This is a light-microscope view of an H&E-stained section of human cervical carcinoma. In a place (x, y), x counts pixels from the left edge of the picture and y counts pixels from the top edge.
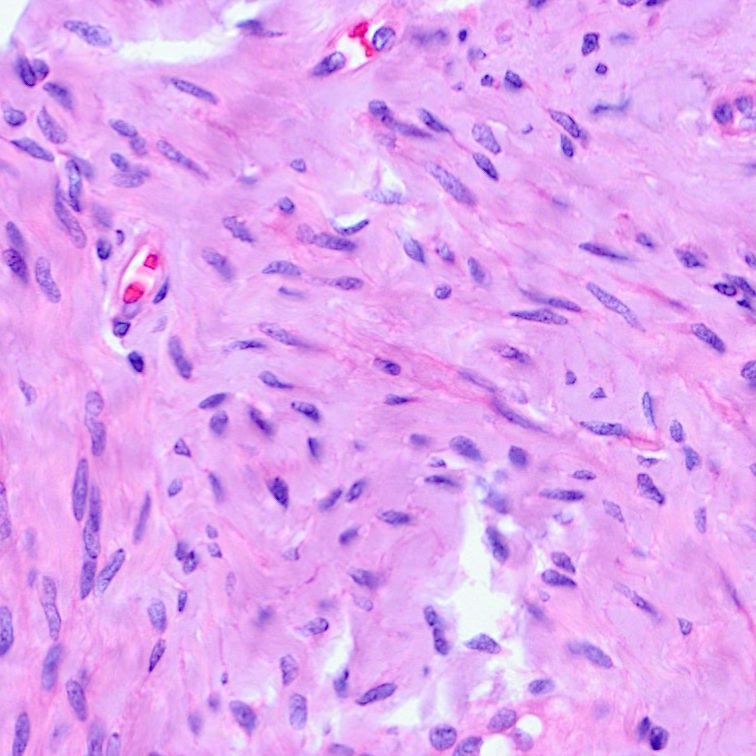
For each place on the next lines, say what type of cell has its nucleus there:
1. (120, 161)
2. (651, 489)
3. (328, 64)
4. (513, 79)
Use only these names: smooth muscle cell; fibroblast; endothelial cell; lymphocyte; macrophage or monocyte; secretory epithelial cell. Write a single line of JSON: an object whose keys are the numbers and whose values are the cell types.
{"1": "fibroblast", "2": "fibroblast", "3": "endothelial cell", "4": "fibroblast"}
